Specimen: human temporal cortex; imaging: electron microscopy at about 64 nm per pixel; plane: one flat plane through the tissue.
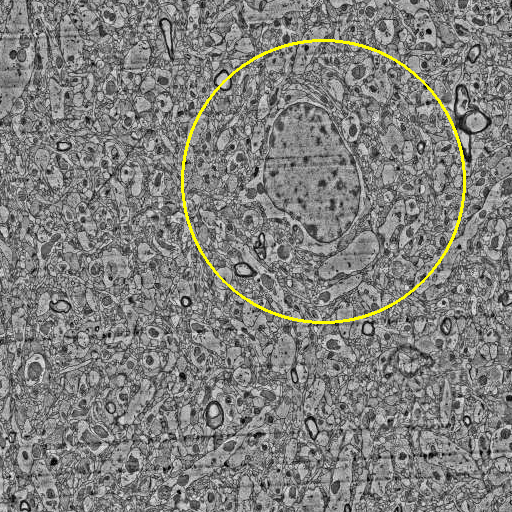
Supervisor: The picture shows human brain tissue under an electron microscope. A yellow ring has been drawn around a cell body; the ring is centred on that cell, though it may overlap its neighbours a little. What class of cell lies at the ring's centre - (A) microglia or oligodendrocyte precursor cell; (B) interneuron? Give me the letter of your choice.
A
